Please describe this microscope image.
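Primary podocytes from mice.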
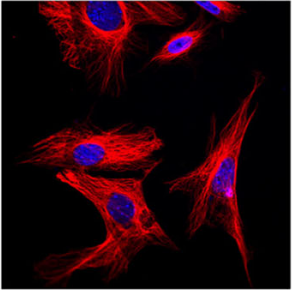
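Several flat, spread cells lie apart on the surface, each with a single oval blue nucleus near its middle. Fine red filaments radiate from around the nucleus and run in long, gently curving strands out to the cell edges and into tapering extensions.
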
